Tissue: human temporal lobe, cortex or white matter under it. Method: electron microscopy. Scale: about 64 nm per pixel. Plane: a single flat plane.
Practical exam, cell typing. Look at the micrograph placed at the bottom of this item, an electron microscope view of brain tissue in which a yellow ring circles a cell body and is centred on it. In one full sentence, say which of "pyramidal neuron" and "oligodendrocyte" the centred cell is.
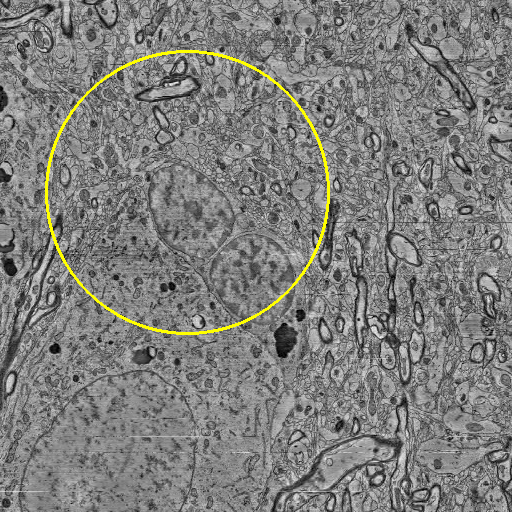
Given the options, an oligodendrocyte fits the cell whose body the yellow ring is centred on.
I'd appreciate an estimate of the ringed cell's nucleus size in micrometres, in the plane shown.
The nucleus is approximately 7 micrometers long by 5 micrometers wide in this plane.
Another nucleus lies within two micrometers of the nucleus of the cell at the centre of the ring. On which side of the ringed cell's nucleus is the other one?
That other nucleus appears to the lower right of it.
